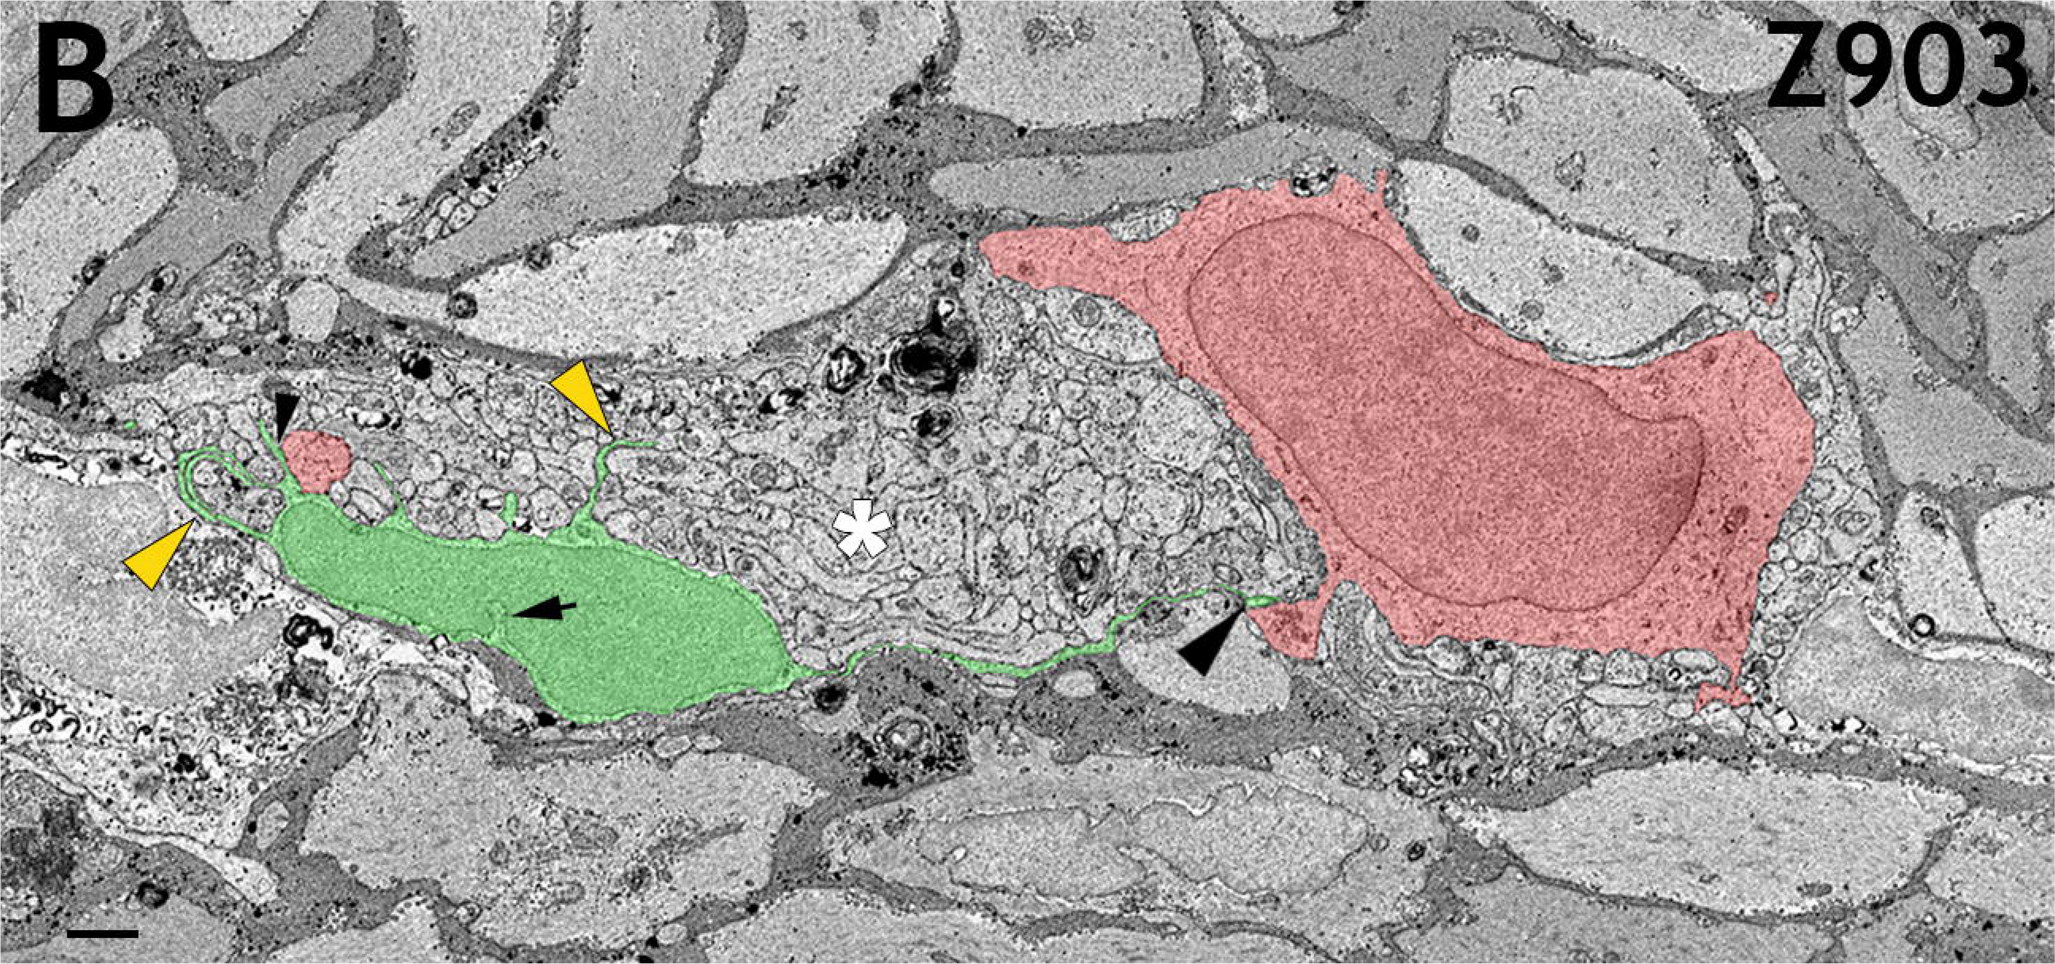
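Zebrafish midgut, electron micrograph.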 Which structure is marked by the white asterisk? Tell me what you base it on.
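The asterisk lies on a cluster of many small round pale profiles. On this evidence: axon bundles.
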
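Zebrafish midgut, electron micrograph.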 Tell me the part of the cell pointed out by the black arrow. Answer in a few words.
Nuclear crenelations.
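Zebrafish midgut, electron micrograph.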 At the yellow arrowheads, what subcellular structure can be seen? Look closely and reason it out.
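Thin membranous processes extend from the green-coloured cell. The processes run between groups of small profiles.
Hence: sheet-like extensions.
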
